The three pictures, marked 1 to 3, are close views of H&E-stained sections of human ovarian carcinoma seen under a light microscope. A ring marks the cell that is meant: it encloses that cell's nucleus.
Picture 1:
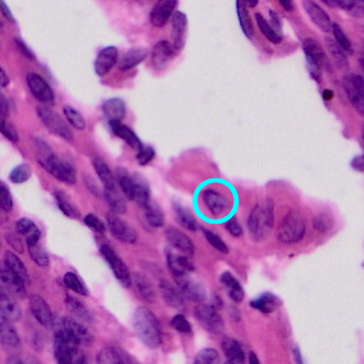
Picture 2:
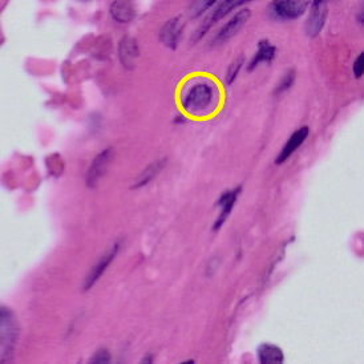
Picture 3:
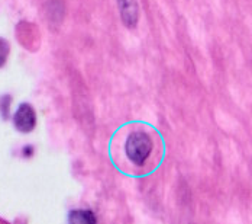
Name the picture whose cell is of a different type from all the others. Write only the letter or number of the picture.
1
